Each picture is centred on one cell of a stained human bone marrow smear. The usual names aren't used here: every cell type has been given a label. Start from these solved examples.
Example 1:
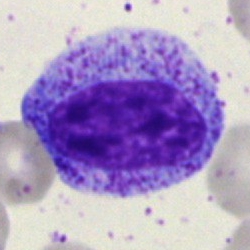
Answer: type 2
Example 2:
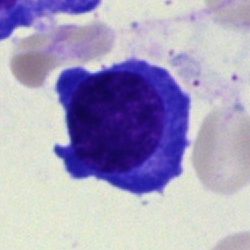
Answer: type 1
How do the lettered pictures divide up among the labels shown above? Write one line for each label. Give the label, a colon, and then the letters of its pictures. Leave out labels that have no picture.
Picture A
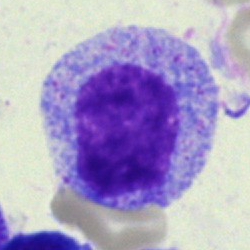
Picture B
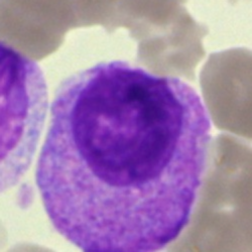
type 2: A, B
